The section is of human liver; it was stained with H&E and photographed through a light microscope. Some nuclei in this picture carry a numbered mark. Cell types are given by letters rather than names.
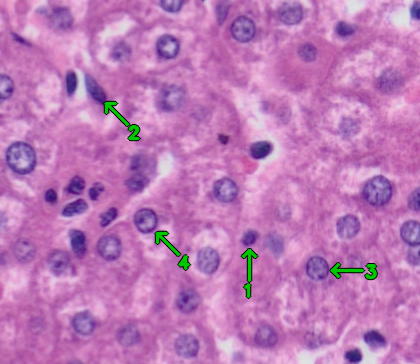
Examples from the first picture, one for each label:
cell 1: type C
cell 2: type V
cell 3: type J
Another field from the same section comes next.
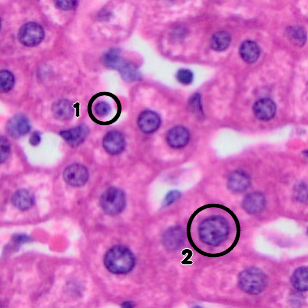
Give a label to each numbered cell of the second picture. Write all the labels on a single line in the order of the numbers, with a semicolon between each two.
type C; type J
